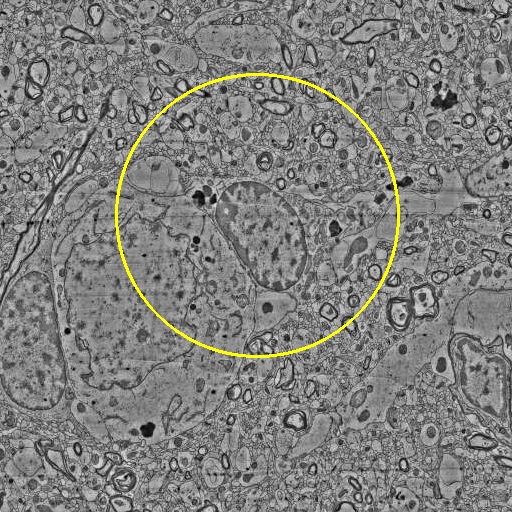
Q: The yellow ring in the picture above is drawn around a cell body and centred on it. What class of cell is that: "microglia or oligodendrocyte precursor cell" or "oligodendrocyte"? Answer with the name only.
microglia or oligodendrocyte precursor cell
